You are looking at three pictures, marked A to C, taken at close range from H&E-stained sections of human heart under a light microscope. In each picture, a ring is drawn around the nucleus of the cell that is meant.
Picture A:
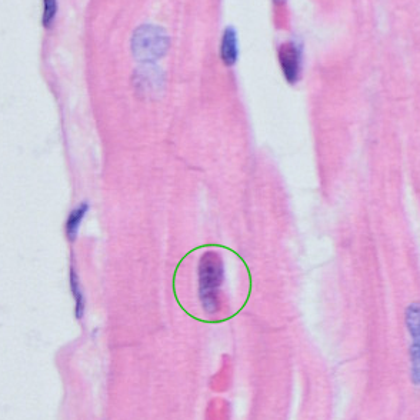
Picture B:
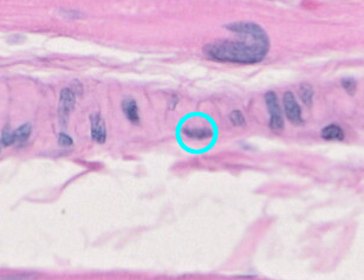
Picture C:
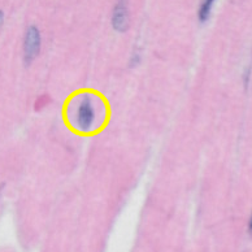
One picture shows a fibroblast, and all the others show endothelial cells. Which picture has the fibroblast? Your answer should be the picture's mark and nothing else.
B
